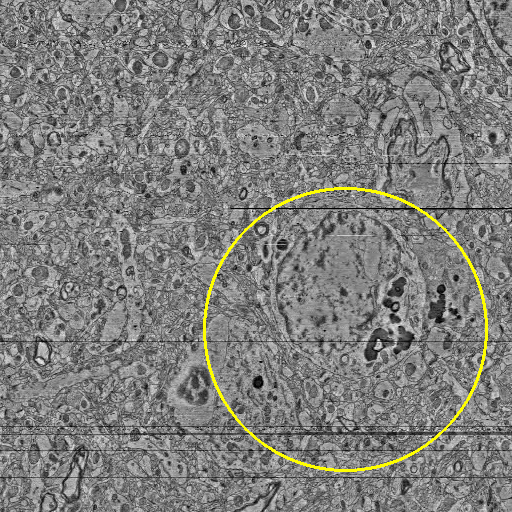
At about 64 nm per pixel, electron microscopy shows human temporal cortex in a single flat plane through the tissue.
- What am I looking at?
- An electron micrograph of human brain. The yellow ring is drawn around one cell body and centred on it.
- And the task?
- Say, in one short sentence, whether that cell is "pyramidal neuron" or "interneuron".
The cell in the middle of the ring is an interneuron.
